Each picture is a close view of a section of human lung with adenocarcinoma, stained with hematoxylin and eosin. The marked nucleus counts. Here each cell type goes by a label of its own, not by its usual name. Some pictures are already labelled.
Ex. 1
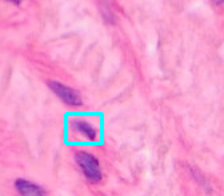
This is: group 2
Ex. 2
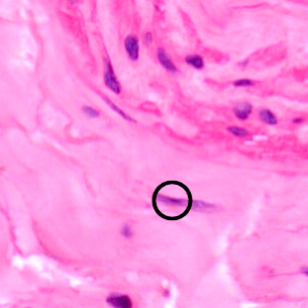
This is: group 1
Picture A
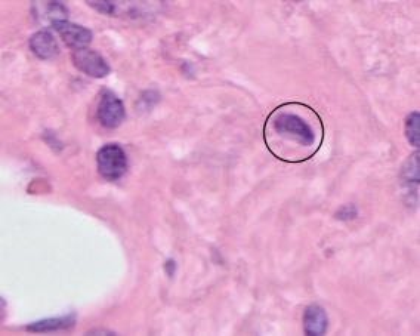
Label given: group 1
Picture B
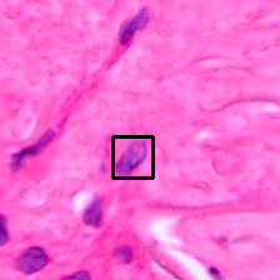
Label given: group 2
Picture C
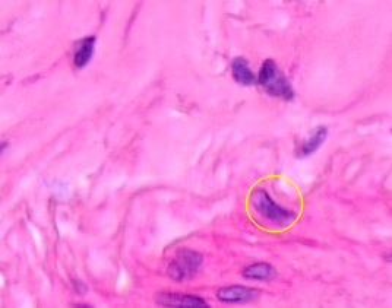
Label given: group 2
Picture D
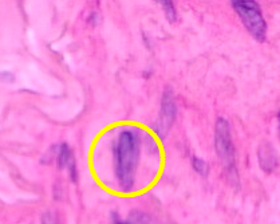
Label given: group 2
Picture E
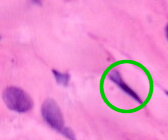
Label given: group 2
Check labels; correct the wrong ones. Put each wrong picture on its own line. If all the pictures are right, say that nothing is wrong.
Wrong: E (group 2); correct: group 1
